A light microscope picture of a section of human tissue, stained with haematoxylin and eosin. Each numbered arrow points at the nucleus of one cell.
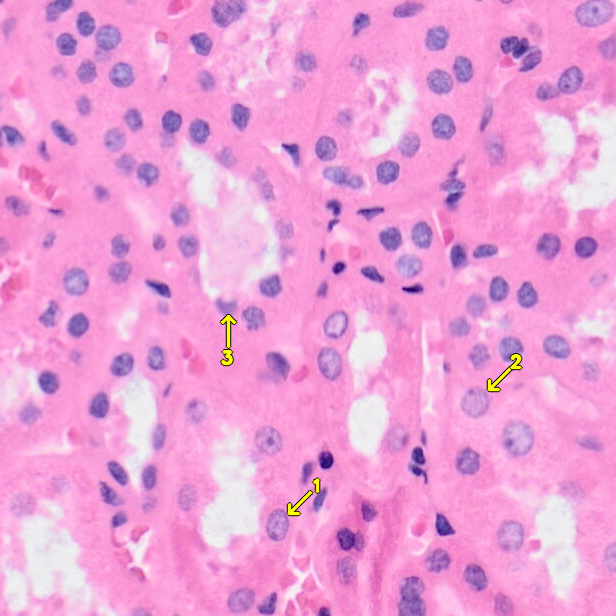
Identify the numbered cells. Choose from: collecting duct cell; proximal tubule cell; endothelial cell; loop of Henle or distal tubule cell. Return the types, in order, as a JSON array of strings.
["proximal tubule cell", "proximal tubule cell", "loop of Henle or distal tubule cell"]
